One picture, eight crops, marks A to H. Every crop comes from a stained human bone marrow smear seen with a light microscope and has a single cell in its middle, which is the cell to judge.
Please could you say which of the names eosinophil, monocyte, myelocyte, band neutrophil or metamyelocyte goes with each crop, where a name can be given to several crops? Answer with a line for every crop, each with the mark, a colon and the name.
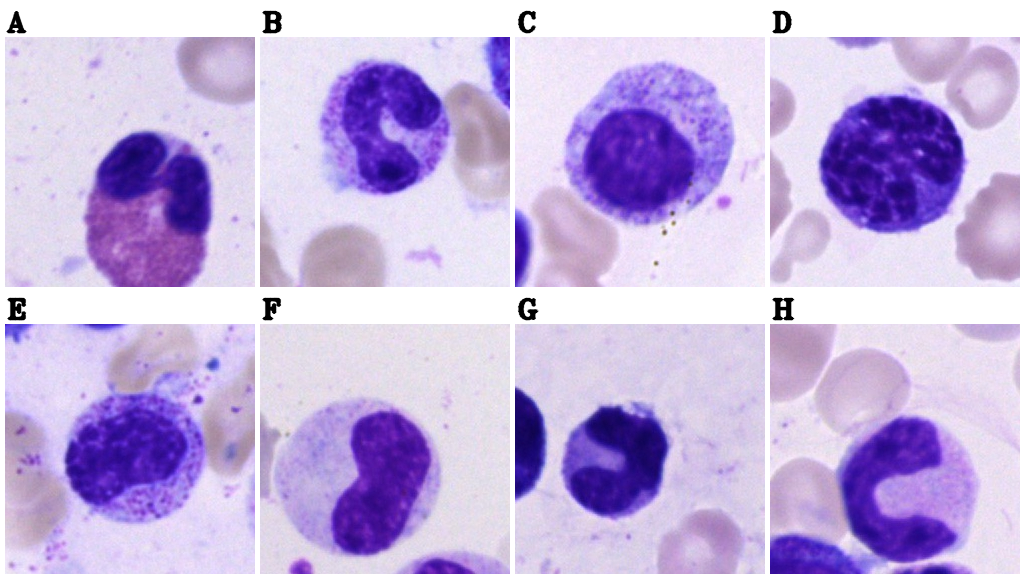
A: eosinophil
B: band neutrophil
C: myelocyte
D: monocyte
E: metamyelocyte
F: metamyelocyte
G: band neutrophil
H: band neutrophil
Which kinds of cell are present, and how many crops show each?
band neutrophil: 3
metamyelocyte: 2
eosinophil: 1
myelocyte: 1
monocyte: 1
